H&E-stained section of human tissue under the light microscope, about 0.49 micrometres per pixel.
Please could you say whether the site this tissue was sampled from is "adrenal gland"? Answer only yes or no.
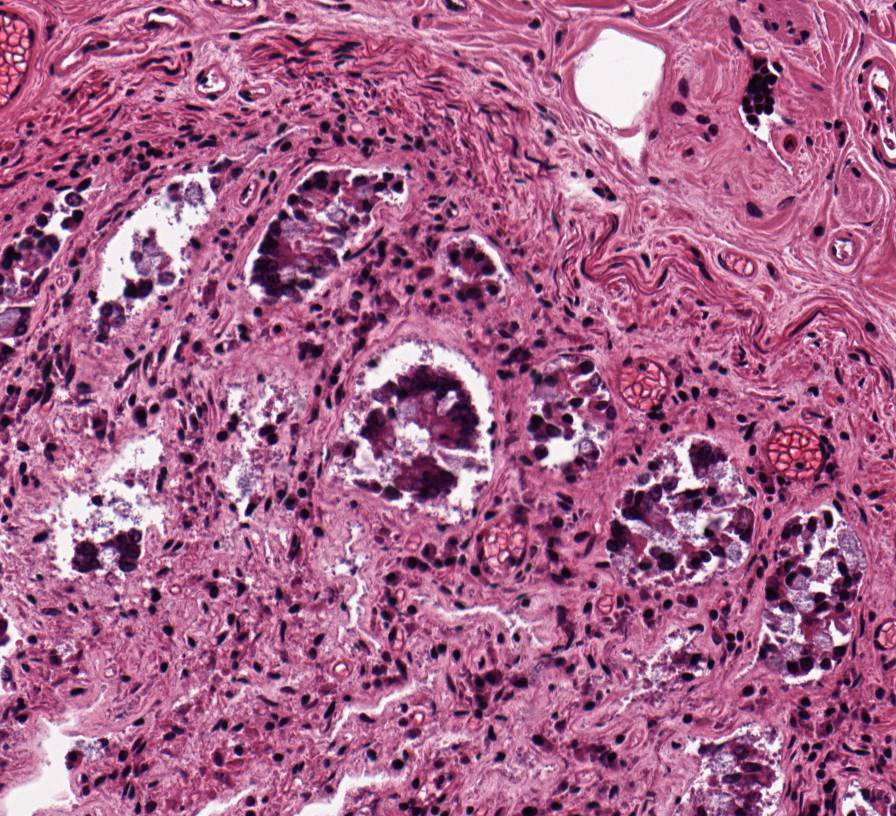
no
